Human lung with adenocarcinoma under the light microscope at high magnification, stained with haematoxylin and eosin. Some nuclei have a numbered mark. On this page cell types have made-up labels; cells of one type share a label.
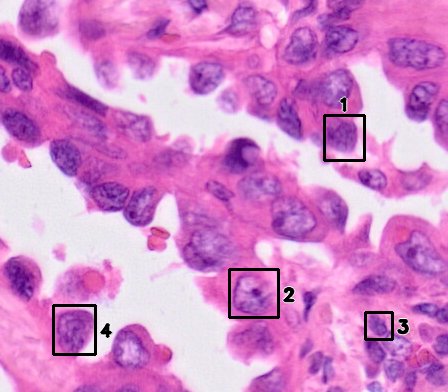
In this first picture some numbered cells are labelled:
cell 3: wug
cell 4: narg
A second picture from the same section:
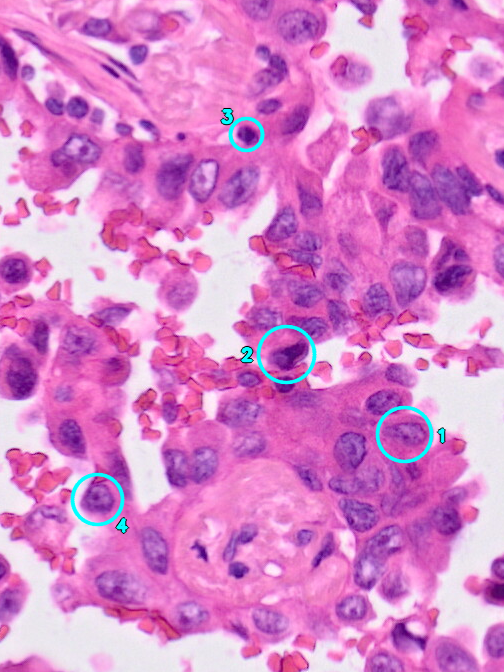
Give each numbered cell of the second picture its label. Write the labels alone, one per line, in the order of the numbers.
narg
narg
wug
narg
